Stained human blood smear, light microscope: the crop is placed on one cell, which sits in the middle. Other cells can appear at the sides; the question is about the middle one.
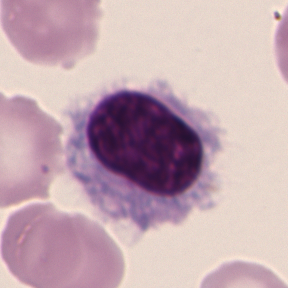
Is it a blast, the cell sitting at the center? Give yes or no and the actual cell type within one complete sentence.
No, the middle cell is classified as a hairy cell instead of a blast.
